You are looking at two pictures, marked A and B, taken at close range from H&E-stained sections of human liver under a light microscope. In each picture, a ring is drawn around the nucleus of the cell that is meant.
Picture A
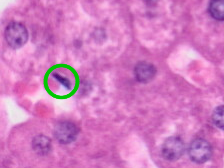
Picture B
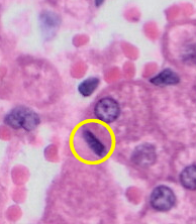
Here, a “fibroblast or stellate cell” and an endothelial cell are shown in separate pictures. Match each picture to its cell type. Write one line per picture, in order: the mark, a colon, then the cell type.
A: endothelial cell
B: fibroblast or stellate cell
